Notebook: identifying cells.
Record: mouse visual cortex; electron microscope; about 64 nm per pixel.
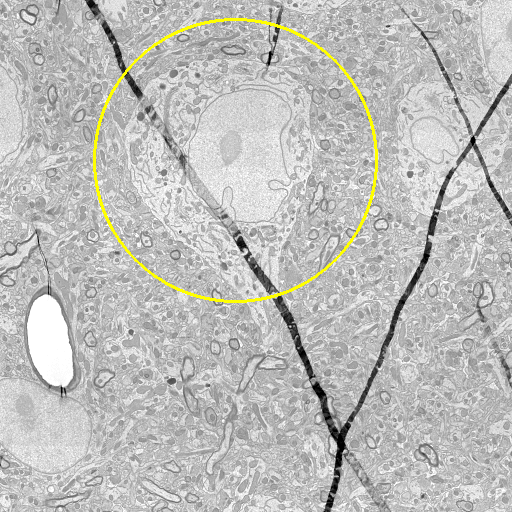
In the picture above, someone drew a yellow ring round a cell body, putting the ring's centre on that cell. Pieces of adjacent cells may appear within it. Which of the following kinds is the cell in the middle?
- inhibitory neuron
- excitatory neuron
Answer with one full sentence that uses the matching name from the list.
In this picture, the yellow ring is centred on the body of an inhibitory neuron.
